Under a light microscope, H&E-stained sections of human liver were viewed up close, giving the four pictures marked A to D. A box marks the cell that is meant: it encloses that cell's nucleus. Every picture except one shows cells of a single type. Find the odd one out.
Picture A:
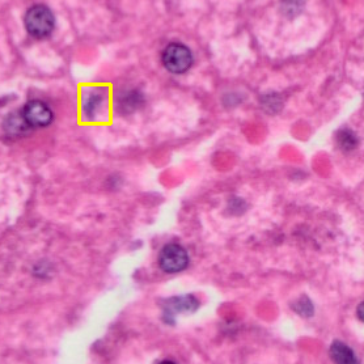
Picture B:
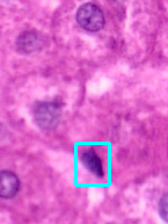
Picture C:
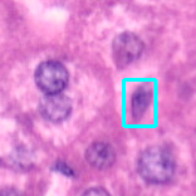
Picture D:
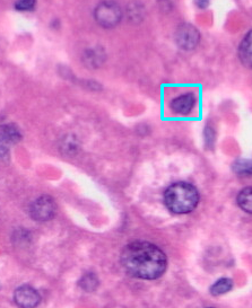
C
